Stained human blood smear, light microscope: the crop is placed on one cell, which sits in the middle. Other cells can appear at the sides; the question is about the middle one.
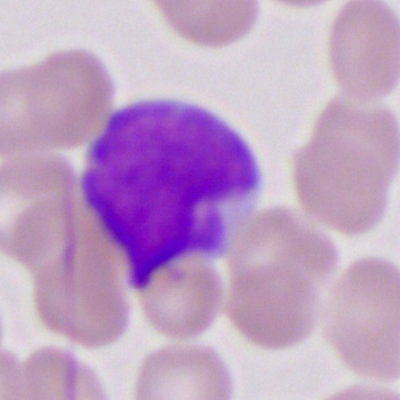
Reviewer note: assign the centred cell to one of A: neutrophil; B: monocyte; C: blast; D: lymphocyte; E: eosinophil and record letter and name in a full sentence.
Option C stands as correct, the central cell being a blast.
